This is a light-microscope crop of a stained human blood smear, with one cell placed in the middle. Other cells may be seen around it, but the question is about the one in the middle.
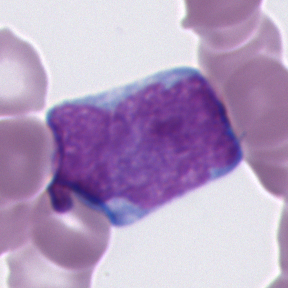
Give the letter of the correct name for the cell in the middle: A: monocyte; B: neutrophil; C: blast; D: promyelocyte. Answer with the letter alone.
C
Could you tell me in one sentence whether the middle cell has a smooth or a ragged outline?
A smooth outline is absent here, replaced by ragged stretches or projections.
